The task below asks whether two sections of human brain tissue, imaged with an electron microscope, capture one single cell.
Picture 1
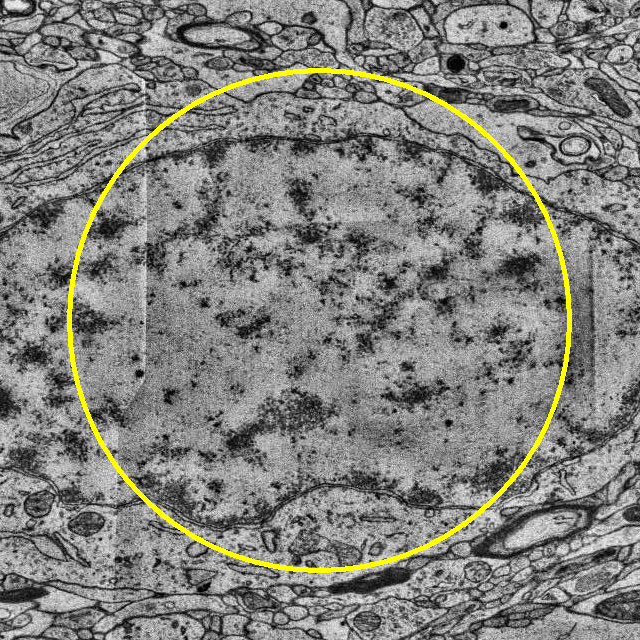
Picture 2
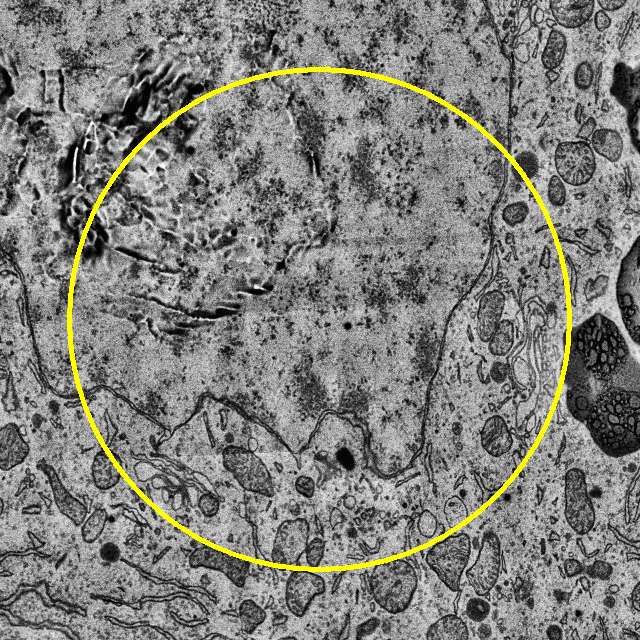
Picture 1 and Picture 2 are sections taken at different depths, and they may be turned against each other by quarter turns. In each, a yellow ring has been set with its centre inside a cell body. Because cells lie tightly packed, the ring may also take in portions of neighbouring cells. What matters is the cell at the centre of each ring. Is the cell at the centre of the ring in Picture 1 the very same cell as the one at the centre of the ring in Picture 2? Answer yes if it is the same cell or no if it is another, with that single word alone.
no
